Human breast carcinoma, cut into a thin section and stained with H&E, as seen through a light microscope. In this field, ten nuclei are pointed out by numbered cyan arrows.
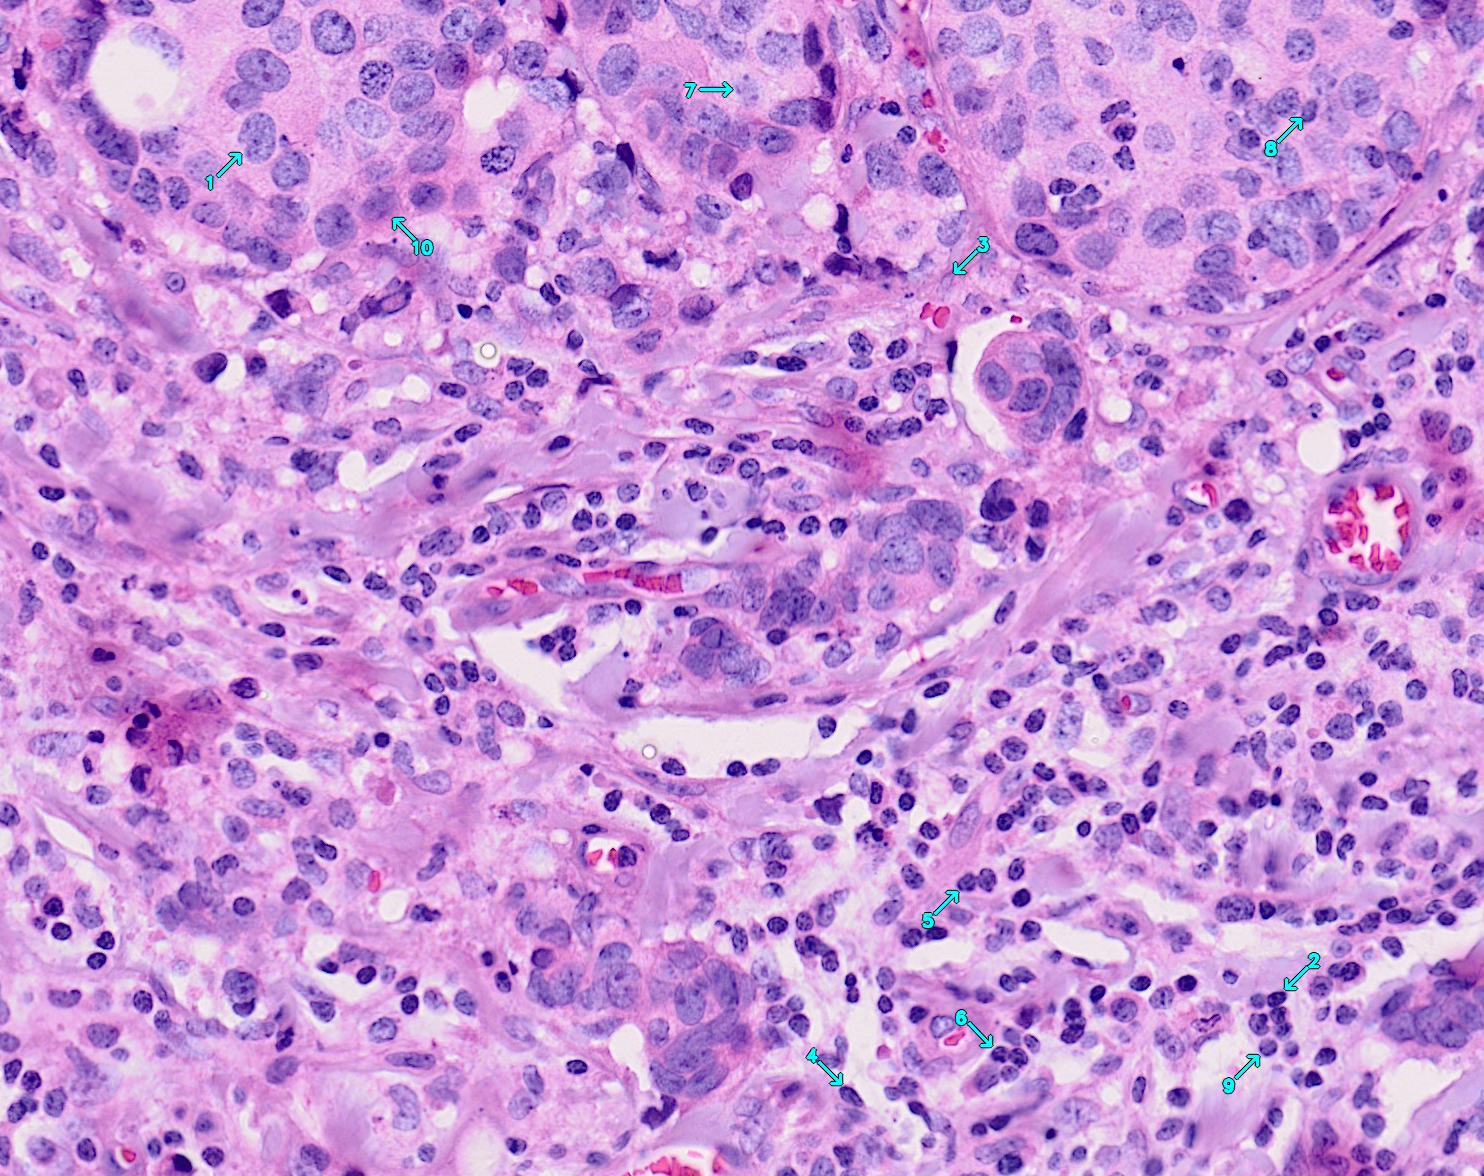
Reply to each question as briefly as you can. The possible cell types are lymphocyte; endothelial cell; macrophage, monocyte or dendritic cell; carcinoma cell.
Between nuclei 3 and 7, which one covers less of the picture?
3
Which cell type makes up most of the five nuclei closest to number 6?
lymphocyte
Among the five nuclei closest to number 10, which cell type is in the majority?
carcinoma cell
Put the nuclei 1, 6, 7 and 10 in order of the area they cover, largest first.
1, 10, 7, 6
